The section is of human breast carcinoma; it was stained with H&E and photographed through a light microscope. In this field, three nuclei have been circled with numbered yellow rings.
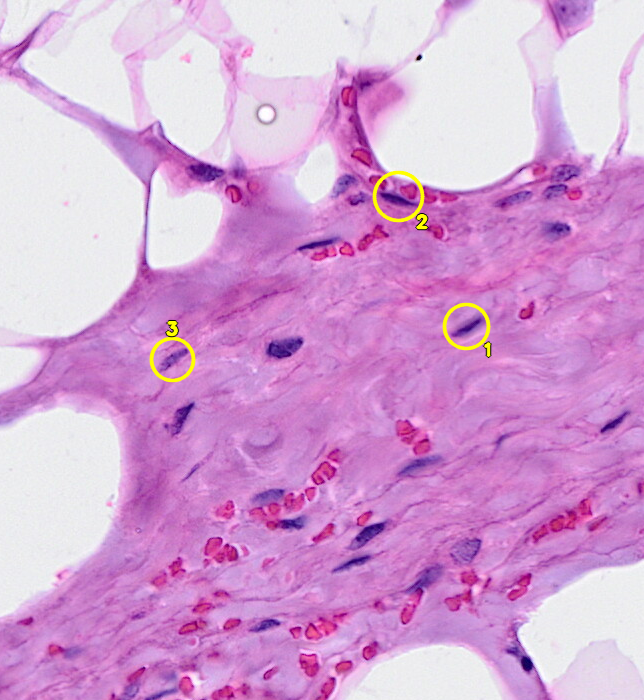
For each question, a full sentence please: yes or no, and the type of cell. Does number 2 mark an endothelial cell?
Yes, that one, number 2, is an endothelial cell.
